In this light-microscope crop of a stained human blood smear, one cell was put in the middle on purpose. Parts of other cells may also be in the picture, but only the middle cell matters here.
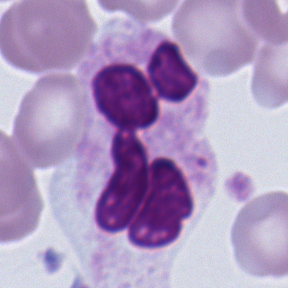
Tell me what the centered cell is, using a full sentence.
Looking at the middle of the crop, the cell there is a neutrophil.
